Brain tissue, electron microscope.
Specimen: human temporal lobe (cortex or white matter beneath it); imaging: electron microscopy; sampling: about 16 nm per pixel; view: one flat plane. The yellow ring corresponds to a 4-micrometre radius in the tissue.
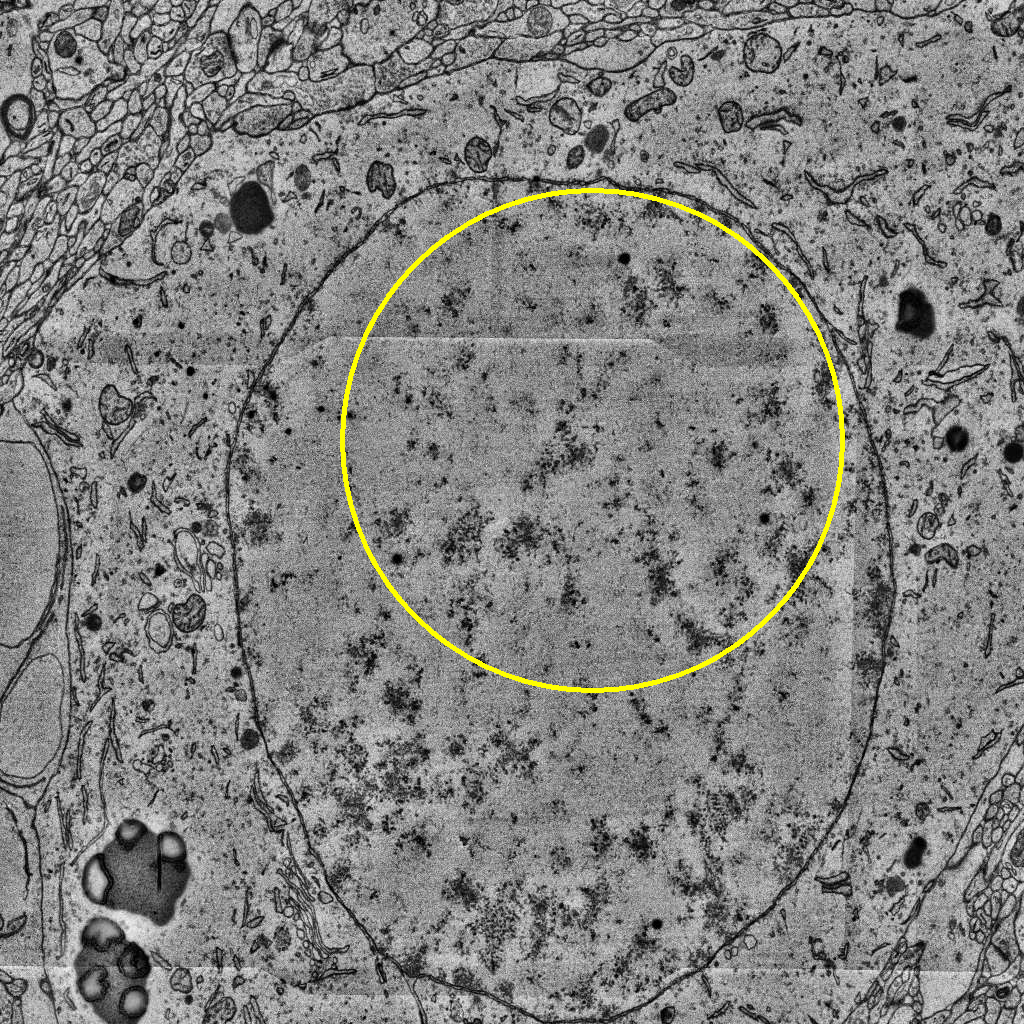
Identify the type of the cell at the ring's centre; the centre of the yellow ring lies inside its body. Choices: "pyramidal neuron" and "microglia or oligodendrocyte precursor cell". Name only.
pyramidal neuron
